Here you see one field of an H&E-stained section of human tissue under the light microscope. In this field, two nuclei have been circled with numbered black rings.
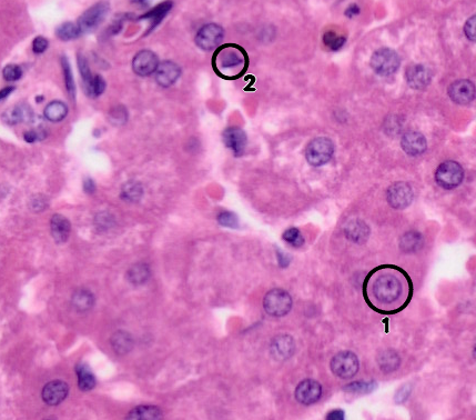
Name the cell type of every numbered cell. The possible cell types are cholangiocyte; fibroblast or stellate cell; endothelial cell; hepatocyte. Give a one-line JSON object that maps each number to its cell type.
{"1": "hepatocyte", "2": "fibroblast or stellate cell"}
